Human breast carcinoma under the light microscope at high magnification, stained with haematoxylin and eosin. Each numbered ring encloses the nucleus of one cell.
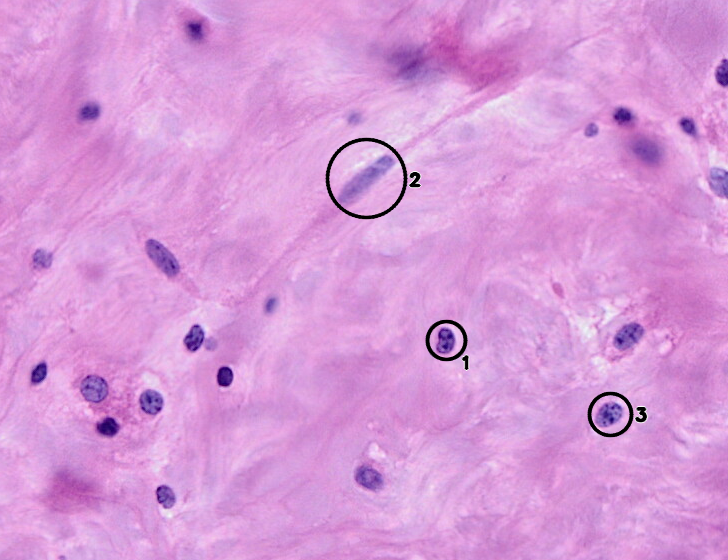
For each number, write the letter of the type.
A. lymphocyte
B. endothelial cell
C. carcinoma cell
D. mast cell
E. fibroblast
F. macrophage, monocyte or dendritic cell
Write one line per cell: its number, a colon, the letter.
1: A
2: E
3: D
